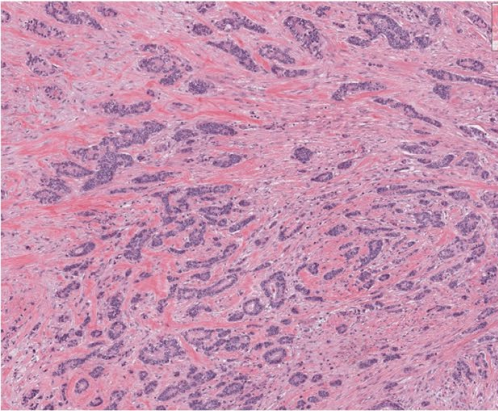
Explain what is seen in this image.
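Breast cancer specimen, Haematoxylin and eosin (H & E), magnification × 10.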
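The tumour epithelium stains purple from its crowded nuclei, while the surrounding collagen-rich stroma is pale to bright pink. Many of the epithelial clusters are small and elongated, arranged as cords or little rings, and a good number enclose a small open lumen. The stroma between them is streaming and fibrous, with sparse spindle-shaped nuclei, and makes up a large share of the field.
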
